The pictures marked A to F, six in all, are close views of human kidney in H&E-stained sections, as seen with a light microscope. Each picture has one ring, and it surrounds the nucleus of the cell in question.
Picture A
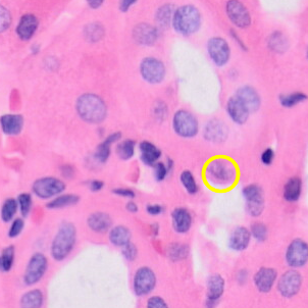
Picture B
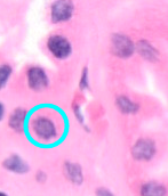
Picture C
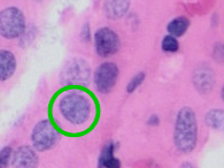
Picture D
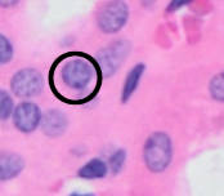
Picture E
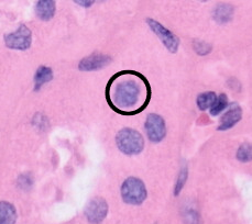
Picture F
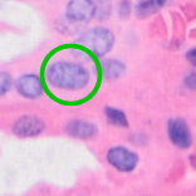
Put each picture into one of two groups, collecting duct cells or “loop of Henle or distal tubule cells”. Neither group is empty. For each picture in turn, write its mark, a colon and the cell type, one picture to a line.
A: loop of Henle or distal tubule cell
B: loop of Henle or distal tubule cell
C: collecting duct cell
D: collecting duct cell
E: loop of Henle or distal tubule cell
F: collecting duct cell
